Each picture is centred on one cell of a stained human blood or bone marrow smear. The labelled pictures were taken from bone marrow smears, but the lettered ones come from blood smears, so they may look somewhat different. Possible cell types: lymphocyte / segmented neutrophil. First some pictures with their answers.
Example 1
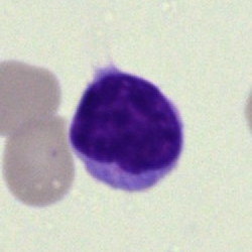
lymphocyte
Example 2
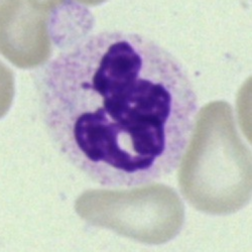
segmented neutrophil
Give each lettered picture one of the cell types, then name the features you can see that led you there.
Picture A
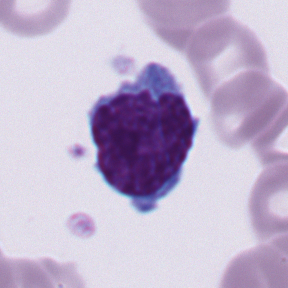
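lymphocyte. Evidence: The cytoplasm is scant, a narrow rim around most of the nucleus.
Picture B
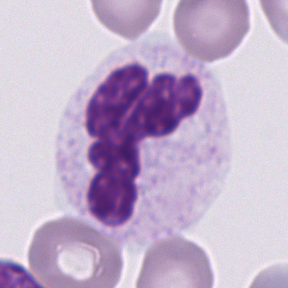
segmented neutrophil. Evidence: The cytoplasm is abundant and pale pinkish-lilac.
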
